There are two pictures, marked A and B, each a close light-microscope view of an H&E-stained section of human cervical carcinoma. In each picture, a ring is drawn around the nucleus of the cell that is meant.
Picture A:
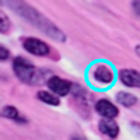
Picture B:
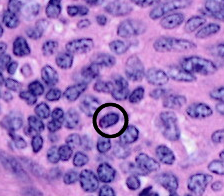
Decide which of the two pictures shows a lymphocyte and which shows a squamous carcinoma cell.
A: lymphocyte
B: squamous carcinoma cell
